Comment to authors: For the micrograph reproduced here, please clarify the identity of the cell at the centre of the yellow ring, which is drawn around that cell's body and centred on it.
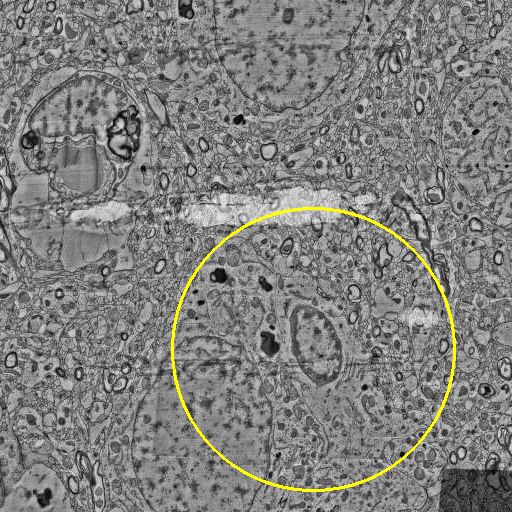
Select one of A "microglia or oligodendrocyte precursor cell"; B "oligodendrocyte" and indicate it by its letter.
A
